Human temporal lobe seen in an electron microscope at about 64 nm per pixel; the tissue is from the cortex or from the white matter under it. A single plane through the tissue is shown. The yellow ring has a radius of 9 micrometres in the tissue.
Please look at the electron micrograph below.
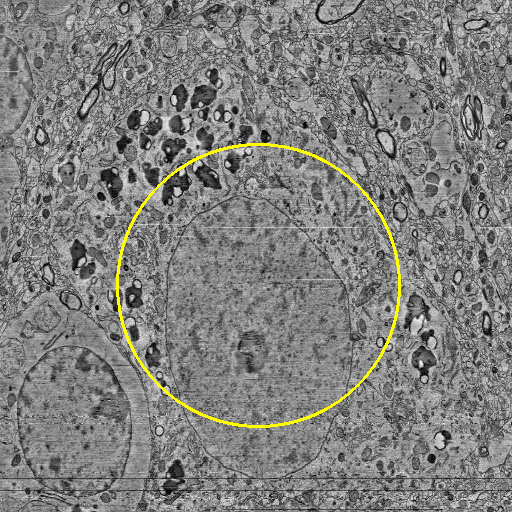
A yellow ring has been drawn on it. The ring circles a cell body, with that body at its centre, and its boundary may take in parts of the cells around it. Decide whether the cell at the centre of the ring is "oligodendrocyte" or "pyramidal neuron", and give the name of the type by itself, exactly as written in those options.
pyramidal neuron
